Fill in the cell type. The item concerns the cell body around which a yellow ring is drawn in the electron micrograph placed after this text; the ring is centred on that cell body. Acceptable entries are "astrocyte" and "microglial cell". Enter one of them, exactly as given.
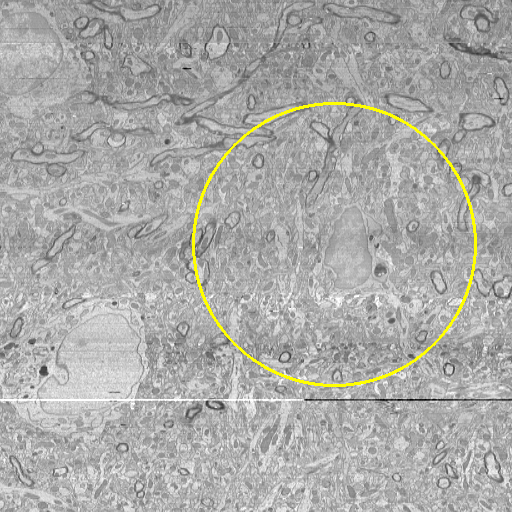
microglial cell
